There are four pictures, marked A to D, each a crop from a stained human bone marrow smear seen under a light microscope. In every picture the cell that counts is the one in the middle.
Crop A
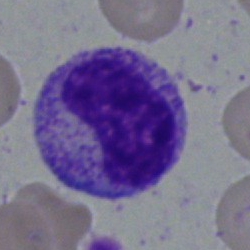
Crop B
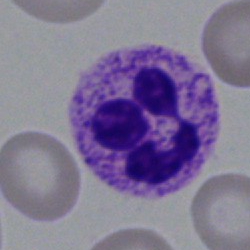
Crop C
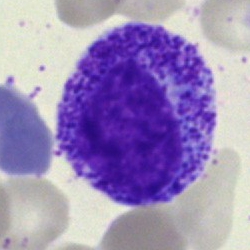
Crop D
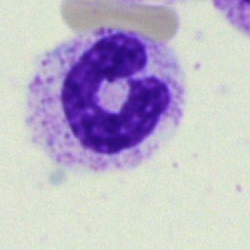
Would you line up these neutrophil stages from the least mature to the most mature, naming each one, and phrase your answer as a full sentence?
Listed from least to most mature, the crops read crop C (a promyelocyte), crop A (a metamyelocyte), crop D (a band neutrophil) and crop B (a segmented neutrophil).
